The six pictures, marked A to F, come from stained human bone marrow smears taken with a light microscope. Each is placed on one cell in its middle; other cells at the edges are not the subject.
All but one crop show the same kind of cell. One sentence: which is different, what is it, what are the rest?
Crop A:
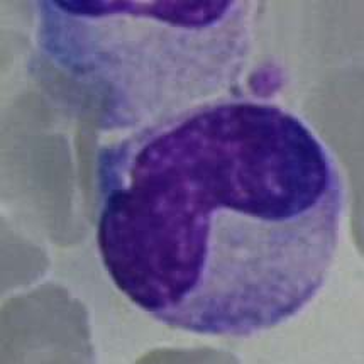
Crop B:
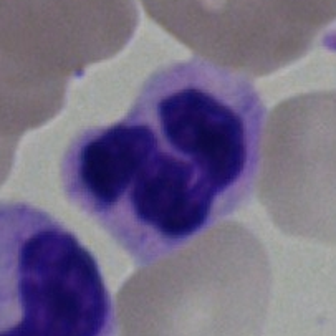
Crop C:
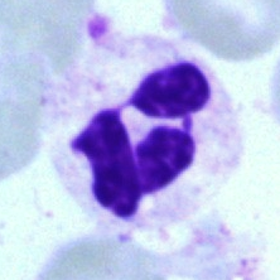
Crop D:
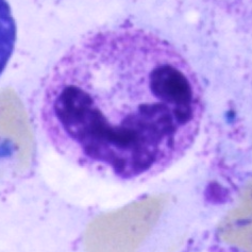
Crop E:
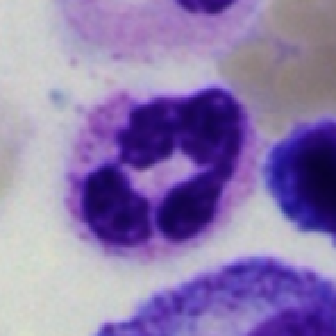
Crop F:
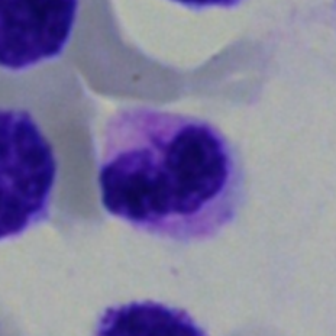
For this set, crop A is a band neutrophil, and all the rest are segmented neutrophils.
